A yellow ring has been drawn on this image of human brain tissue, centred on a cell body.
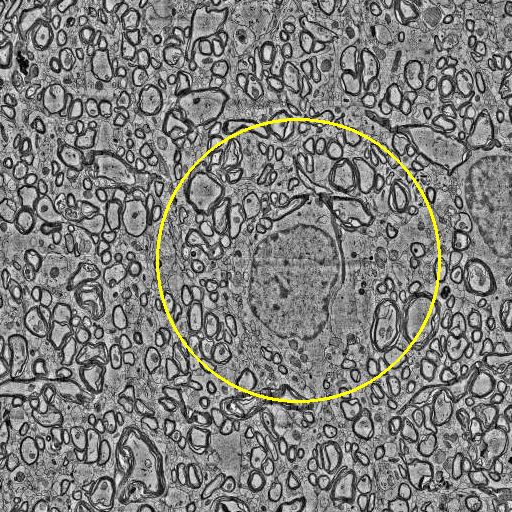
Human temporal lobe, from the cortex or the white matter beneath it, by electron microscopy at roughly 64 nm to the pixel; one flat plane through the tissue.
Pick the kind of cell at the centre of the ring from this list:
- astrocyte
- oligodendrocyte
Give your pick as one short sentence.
The centre of the ring holds an astrocyte.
